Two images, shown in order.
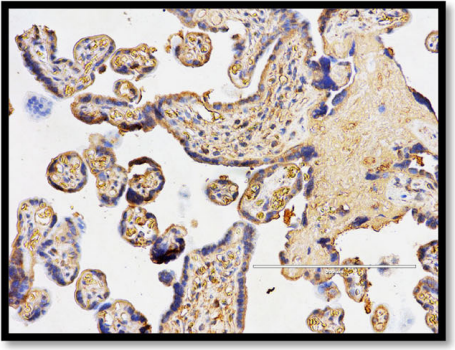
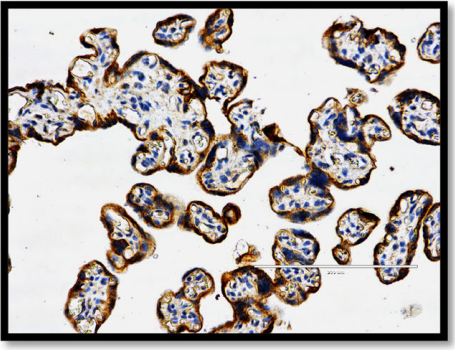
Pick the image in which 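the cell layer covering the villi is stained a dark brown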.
The second image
